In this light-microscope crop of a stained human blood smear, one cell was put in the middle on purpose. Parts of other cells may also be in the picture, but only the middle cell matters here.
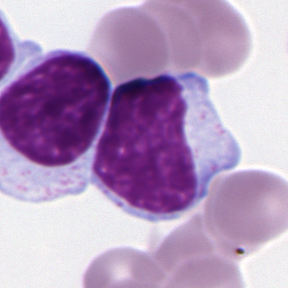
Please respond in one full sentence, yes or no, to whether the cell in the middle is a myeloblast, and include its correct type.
No, the cell in the middle is a large granular lymphocyte, not a myeloblast.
